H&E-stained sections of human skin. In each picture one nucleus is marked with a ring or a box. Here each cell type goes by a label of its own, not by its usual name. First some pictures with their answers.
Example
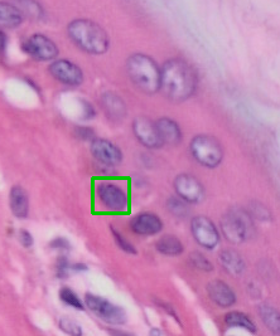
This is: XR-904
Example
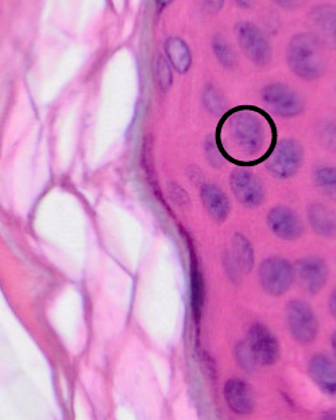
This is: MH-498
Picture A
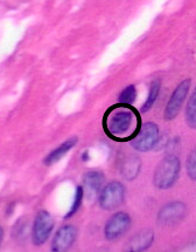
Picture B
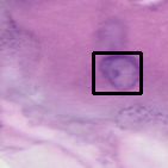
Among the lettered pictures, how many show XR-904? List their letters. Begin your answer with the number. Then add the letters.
1, namely A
